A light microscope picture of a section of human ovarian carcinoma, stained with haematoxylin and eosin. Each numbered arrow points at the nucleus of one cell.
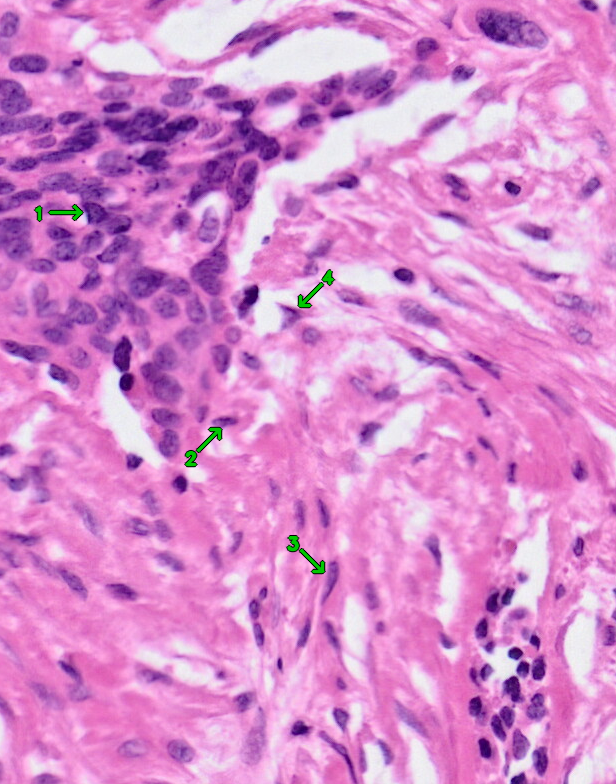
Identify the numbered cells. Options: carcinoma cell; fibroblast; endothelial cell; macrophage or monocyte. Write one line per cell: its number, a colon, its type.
1: carcinoma cell
2: fibroblast
3: fibroblast
4: fibroblast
